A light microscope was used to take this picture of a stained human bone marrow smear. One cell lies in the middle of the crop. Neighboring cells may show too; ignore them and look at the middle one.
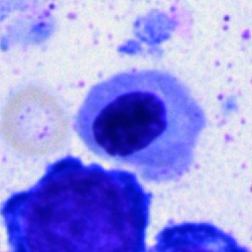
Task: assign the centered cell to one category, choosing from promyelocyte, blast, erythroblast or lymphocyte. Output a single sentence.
The cell of interest, in the center, is an erythroblast.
